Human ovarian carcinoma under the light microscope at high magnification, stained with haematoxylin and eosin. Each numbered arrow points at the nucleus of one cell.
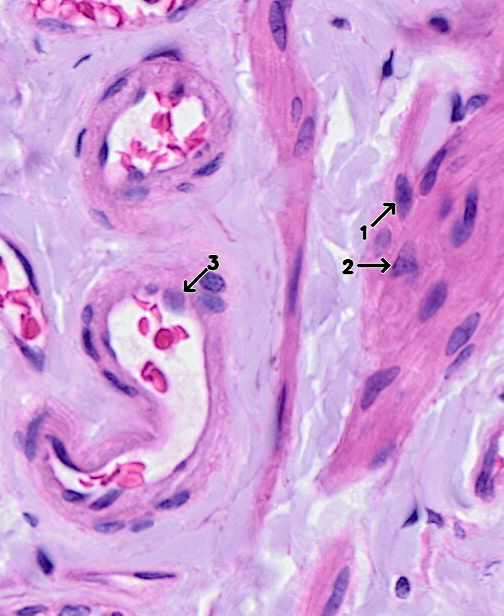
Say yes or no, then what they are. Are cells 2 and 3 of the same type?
No, the cell at number 2 is a smooth muscle cell, and the cell at number 3 is an endothelial cell.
